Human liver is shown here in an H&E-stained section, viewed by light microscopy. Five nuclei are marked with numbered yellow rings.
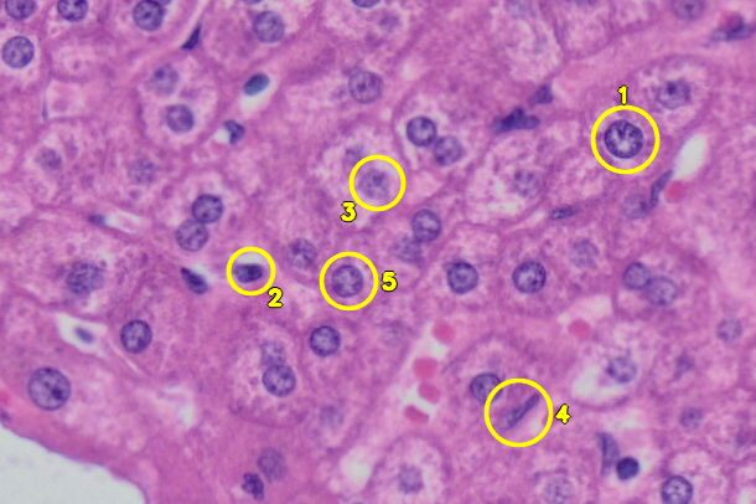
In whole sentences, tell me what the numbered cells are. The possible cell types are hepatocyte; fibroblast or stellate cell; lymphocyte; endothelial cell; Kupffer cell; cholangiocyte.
Cells 1, 3 and 5 are hepatocytes. Cell 2 is a lymphocyte. Cell 4 is a Kupffer cell.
